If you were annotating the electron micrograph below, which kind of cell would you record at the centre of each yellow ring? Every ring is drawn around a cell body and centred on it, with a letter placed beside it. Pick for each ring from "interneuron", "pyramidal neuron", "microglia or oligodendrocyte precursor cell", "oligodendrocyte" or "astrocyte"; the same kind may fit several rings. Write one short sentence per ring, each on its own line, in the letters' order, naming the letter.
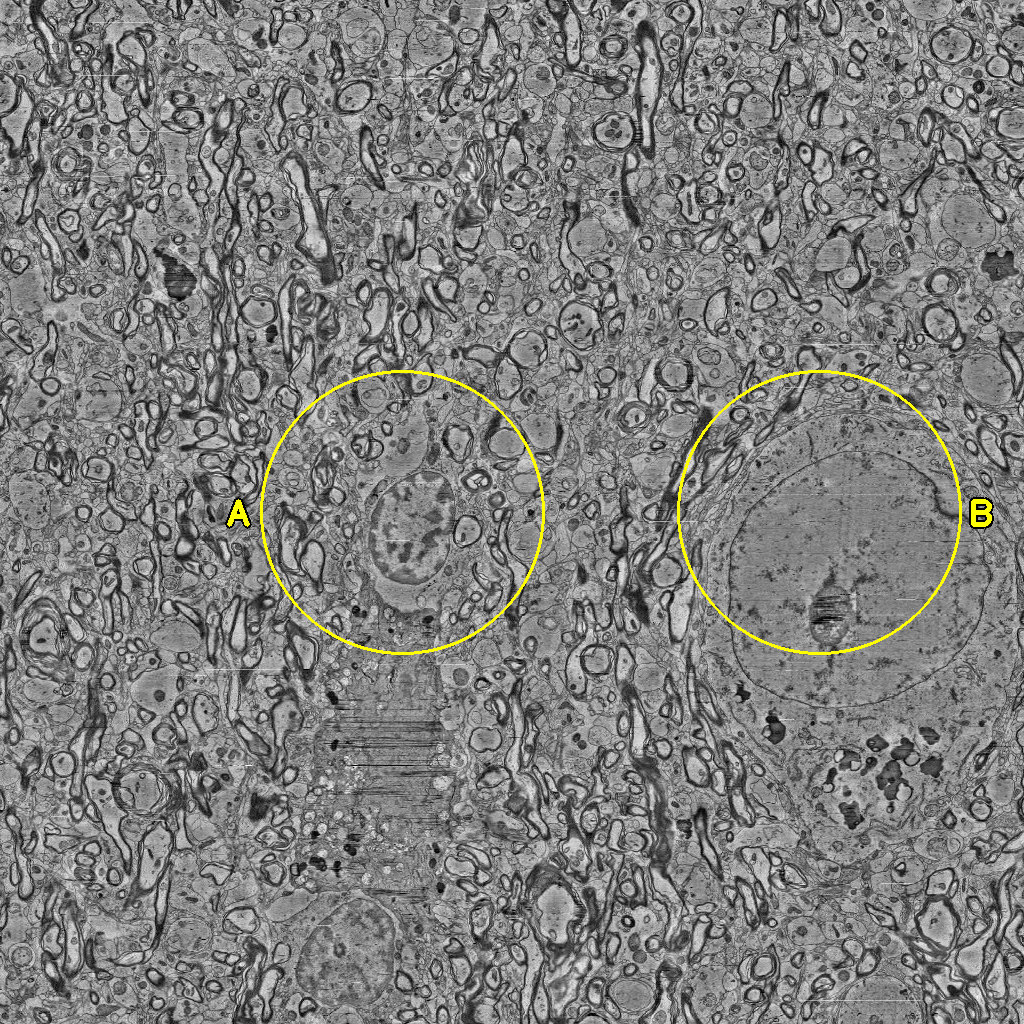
For ring A, I would record a microglial cell or oligodendrocyte precursor cell.
For ring B, I would record a pyramidal neuron.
